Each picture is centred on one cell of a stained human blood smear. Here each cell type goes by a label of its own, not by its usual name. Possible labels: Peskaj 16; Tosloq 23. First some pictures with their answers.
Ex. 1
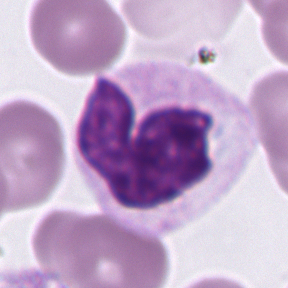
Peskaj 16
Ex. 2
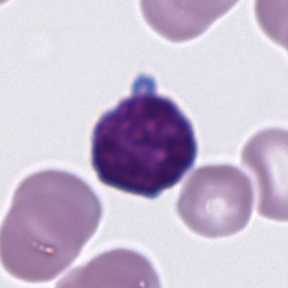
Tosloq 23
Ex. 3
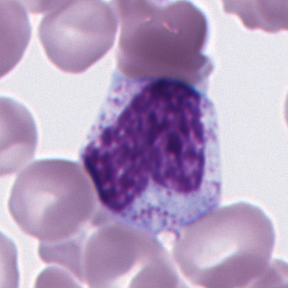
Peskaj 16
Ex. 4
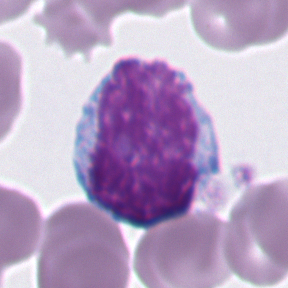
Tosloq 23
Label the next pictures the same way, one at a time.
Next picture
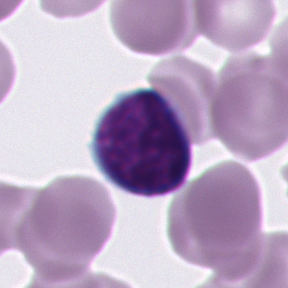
Tosloq 23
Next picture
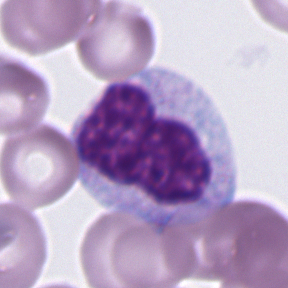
Peskaj 16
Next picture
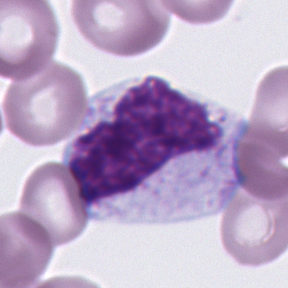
Peskaj 16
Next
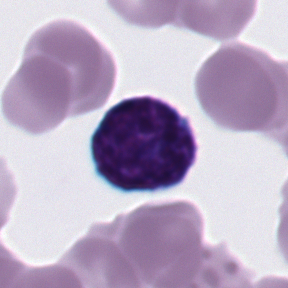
Tosloq 23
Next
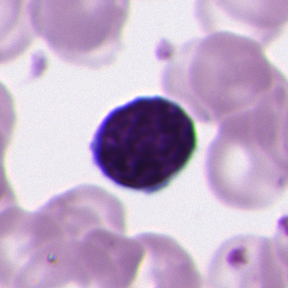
Tosloq 23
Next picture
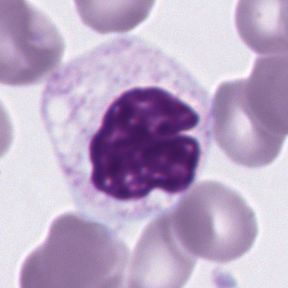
Peskaj 16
